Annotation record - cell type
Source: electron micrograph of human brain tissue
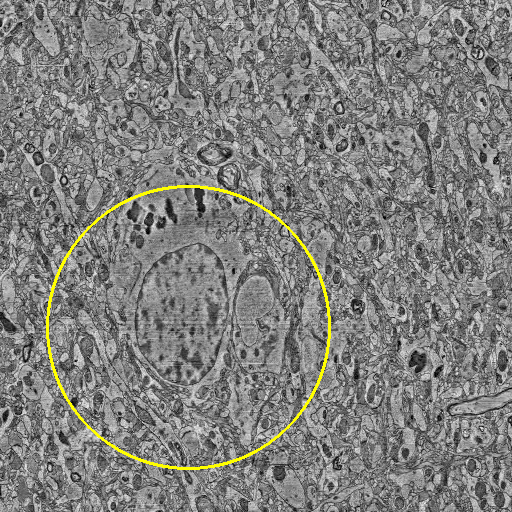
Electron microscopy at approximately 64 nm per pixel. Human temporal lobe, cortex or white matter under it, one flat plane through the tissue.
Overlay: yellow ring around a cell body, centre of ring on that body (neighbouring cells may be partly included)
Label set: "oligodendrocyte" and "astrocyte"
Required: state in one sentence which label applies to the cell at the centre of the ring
This cell should be labelled as an astrocyte.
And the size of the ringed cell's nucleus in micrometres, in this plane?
Roughly 9 by 6 micrometres; in this plane, clearly longer than it is wide.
